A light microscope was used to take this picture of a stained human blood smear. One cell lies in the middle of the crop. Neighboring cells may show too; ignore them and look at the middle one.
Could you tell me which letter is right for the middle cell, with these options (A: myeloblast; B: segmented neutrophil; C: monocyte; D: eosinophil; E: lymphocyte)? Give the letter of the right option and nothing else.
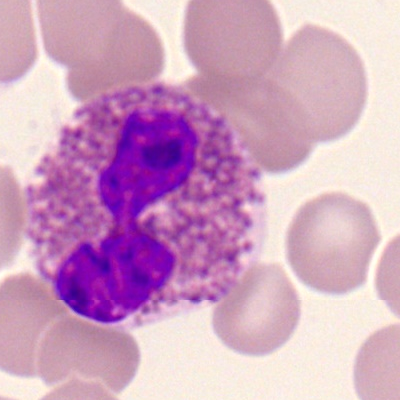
D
